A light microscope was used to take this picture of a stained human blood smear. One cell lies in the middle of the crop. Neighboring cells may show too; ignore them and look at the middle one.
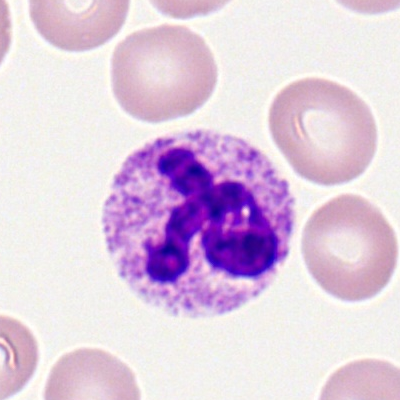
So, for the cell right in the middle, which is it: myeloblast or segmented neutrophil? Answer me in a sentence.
This crop's central cell is a segmented neutrophil.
